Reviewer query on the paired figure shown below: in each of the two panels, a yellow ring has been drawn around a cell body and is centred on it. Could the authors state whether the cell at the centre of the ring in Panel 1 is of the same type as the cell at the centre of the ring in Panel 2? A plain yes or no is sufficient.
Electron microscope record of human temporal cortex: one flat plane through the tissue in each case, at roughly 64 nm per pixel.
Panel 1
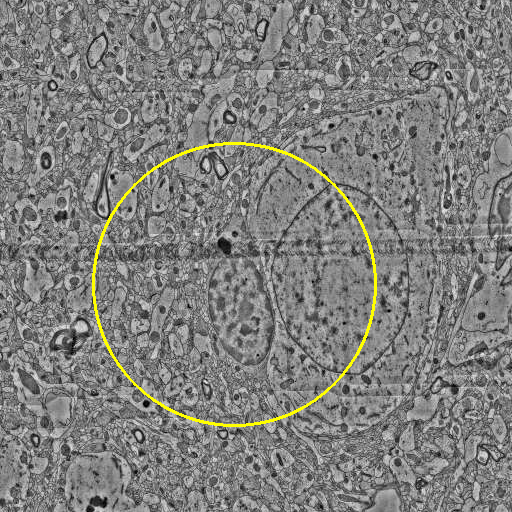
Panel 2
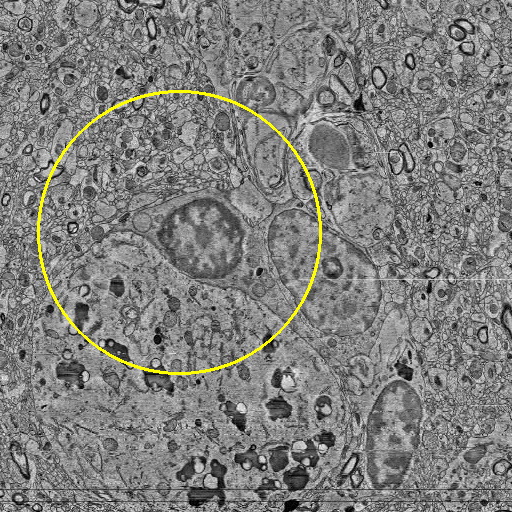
yes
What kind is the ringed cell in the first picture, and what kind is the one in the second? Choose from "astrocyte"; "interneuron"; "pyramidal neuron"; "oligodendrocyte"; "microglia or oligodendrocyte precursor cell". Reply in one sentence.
In each of the two pictures, the ringed cell is an oligodendrocyte.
